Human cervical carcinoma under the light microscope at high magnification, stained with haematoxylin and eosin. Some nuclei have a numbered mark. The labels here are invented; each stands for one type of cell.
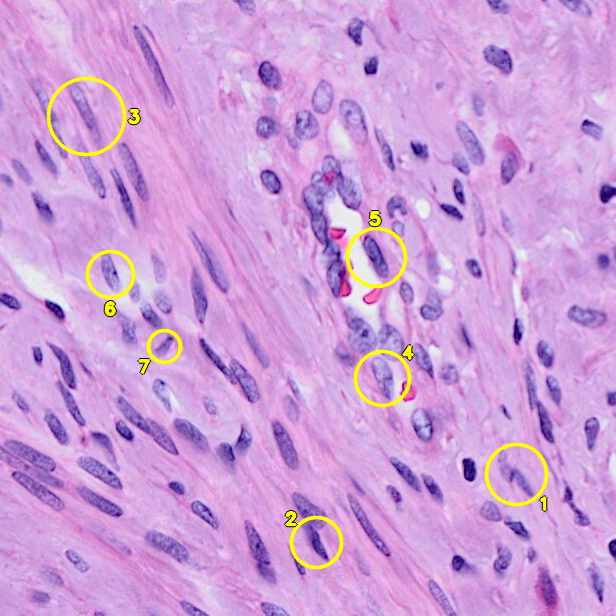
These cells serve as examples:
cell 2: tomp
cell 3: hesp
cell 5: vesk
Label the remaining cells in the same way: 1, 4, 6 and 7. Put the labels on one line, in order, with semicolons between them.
tomp; vesk; tomp; tomp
